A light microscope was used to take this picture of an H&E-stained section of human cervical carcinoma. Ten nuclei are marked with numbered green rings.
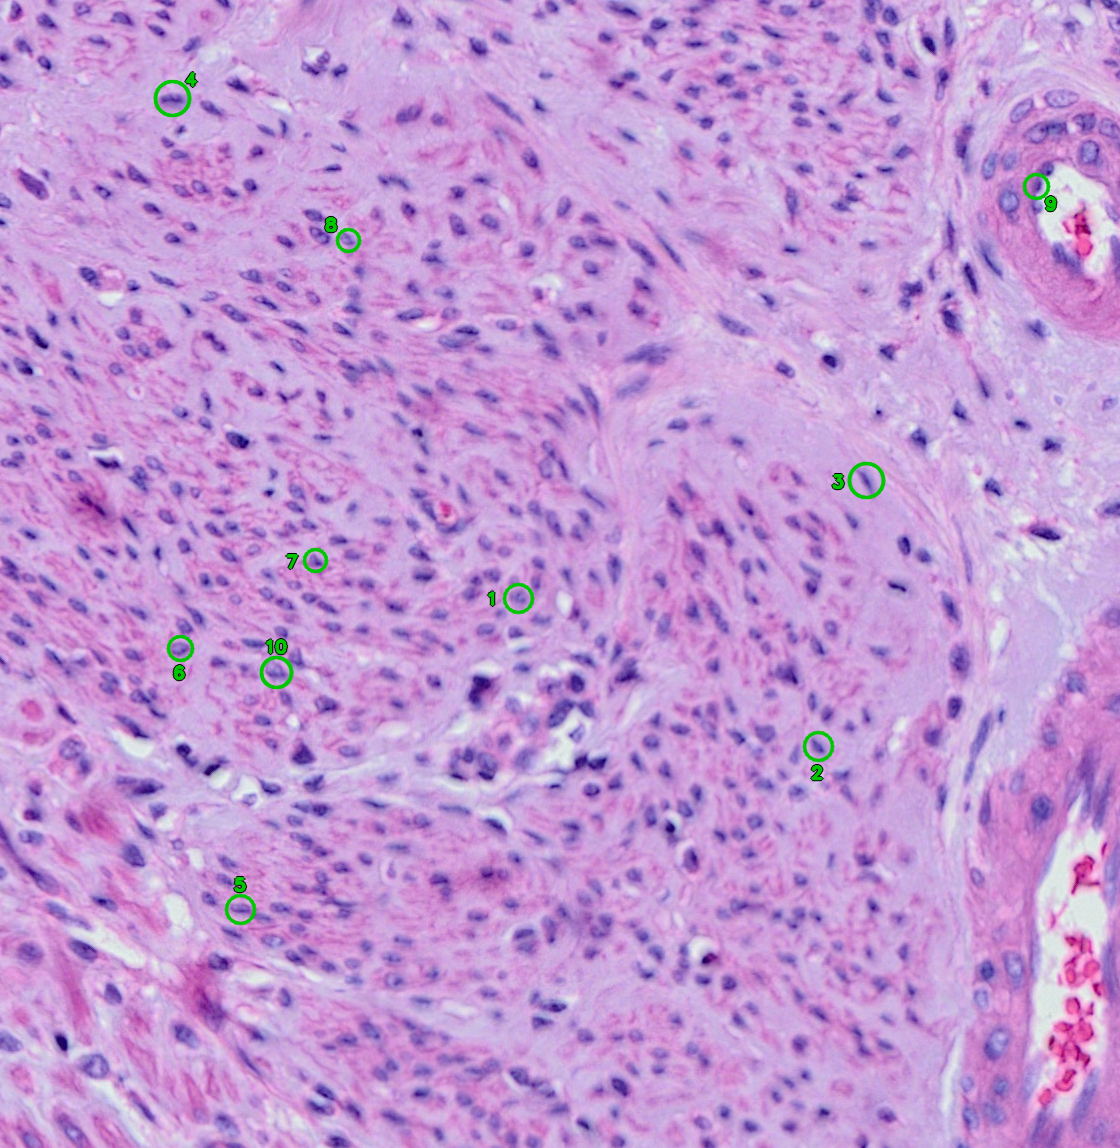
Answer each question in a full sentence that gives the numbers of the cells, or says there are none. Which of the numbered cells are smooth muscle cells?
Each of the cells numbered 1, 5, 6, 7, 8 and 10 is among the smooth muscle cells.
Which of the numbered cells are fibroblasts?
Into the category of fibroblasts fall the cells numbered 2, 3 and 4.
